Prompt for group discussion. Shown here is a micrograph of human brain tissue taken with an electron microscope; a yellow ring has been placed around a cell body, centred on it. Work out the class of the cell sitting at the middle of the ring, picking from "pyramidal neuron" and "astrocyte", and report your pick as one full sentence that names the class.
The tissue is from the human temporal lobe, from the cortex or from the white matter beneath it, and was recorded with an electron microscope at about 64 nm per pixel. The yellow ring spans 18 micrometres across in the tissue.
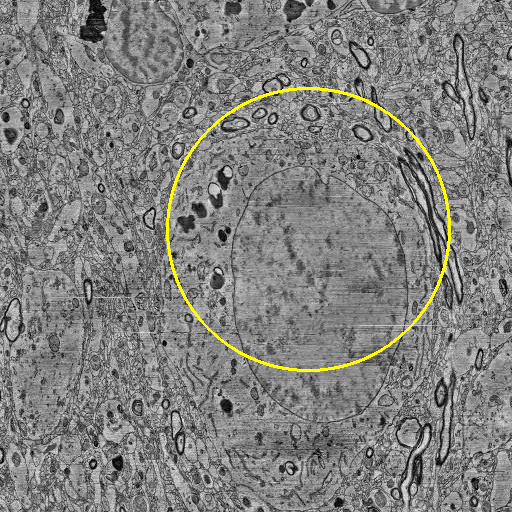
The cell sitting at the middle of the yellow ring is a pyramidal neuron.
